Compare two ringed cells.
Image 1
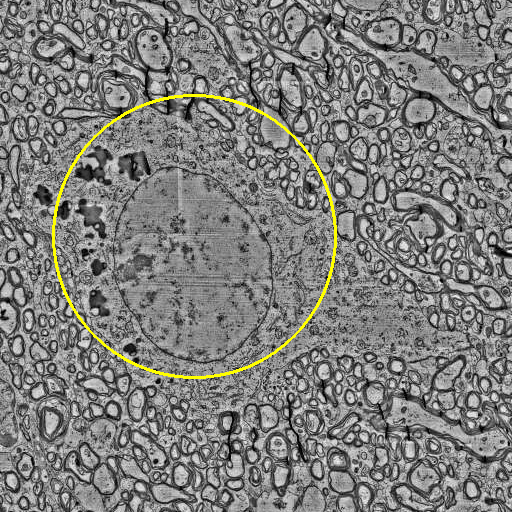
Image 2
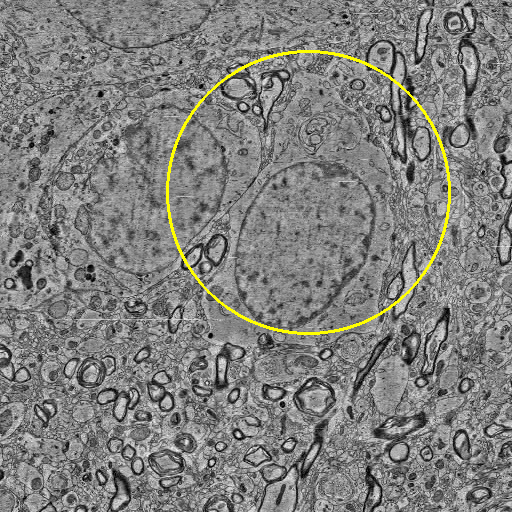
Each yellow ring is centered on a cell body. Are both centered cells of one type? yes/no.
no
